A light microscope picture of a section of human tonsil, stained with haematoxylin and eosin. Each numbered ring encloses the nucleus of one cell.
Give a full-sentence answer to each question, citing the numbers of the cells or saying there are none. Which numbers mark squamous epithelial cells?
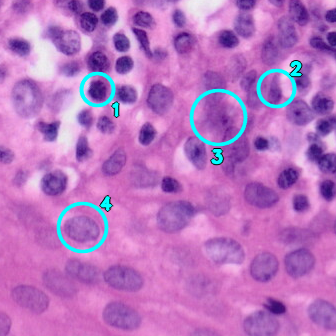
The cells that bear the numbers 2, 3 and 4 are squamous epithelial cells.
